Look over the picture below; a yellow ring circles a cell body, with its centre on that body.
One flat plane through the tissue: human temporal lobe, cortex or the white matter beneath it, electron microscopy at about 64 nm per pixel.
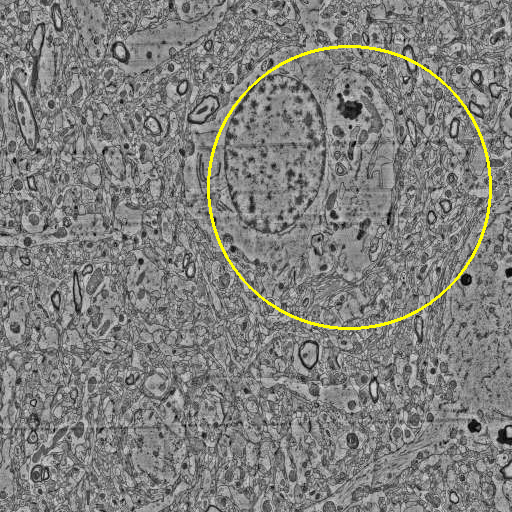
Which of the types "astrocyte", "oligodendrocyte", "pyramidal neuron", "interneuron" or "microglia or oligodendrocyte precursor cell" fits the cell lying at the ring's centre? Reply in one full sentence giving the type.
The picture shows an astrocyte at the centre of the yellow ring.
